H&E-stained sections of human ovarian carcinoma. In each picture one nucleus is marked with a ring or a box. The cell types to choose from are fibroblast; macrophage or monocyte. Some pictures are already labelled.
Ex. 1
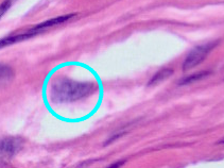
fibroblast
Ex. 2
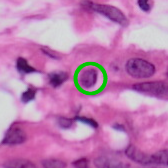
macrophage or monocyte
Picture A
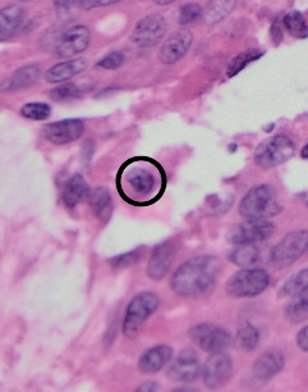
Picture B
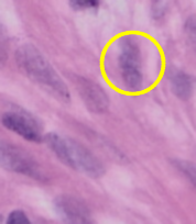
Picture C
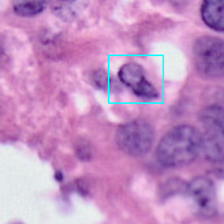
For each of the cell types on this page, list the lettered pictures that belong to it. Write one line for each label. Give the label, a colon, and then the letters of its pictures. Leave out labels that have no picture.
fibroblast: B
macrophage or monocyte: A, C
